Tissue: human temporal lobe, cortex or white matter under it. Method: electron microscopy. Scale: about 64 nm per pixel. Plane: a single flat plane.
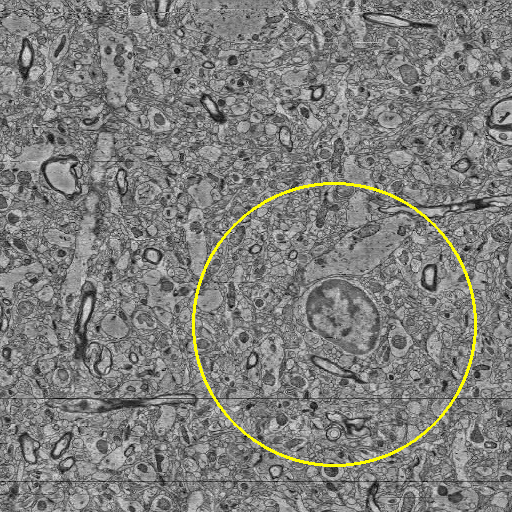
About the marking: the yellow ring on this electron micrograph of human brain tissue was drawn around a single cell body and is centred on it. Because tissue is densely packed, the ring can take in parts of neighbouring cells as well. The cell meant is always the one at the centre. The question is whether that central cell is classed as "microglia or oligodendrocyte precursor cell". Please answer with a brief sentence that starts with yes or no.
Yes, the central cell is classed that way.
